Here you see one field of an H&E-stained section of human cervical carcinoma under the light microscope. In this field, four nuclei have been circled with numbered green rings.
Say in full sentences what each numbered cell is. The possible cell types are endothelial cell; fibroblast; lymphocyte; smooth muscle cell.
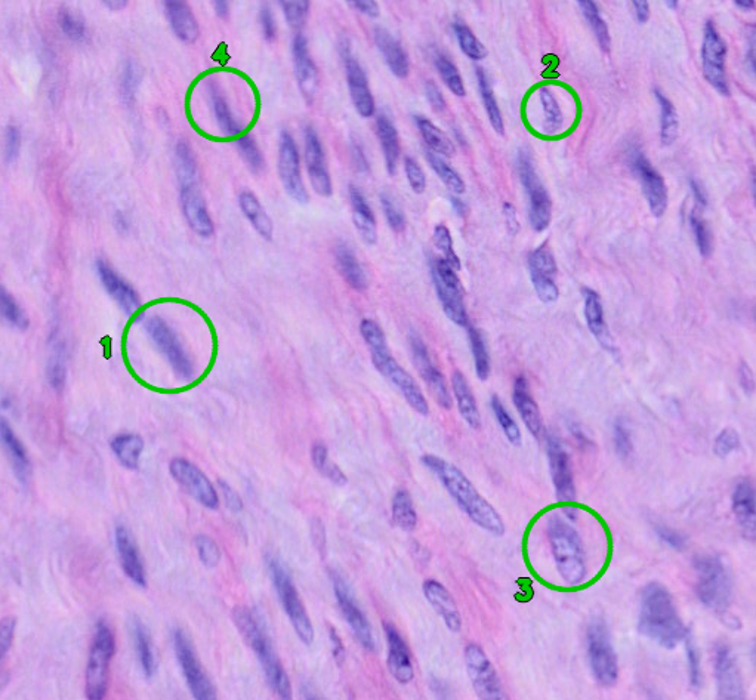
Cell 1 is a fibroblast, cell 2 is a smooth muscle cell, cell 3 is a smooth muscle cell and cell 4 is a smooth muscle cell.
